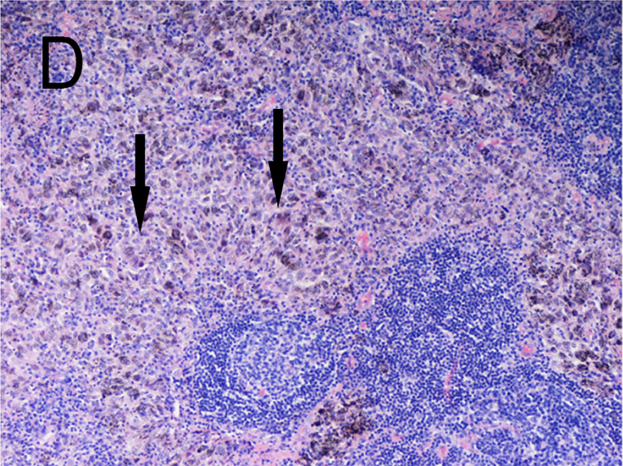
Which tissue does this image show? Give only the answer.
Lymph nodes.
